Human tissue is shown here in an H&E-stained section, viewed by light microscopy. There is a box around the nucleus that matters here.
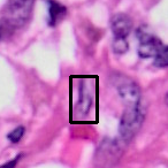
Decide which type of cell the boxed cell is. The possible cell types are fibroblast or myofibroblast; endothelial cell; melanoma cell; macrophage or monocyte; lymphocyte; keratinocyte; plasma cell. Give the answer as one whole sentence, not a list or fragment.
The identity of the boxed cell: it is an endothelial cell.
